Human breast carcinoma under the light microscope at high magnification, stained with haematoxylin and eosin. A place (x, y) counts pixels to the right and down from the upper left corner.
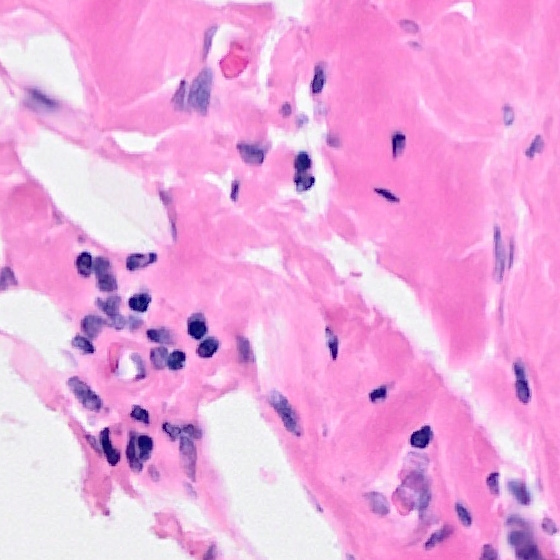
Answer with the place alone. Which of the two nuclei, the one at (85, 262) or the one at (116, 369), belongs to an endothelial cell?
(116, 369)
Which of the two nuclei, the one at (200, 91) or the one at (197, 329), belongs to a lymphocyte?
(197, 329)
